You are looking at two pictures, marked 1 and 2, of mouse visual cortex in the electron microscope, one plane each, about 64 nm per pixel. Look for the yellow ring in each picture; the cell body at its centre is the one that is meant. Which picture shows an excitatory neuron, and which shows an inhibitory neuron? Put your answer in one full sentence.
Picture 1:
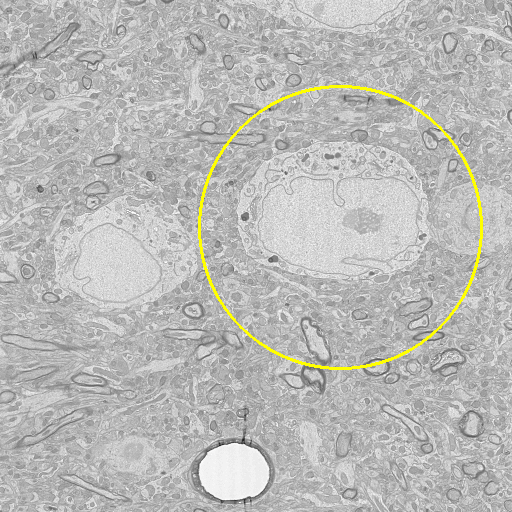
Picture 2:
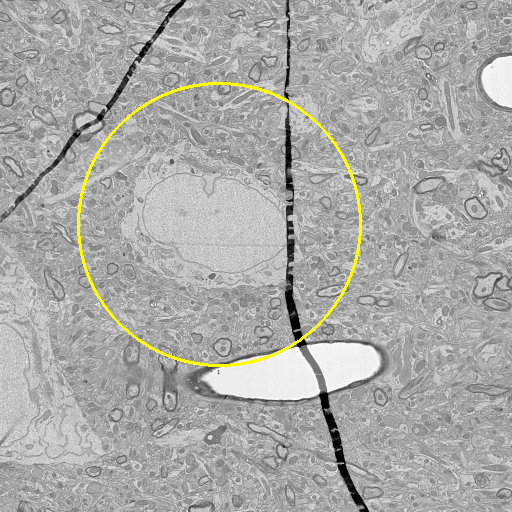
It is picture 1 that shows an inhibitory neuron, and picture 2 that shows an excitatory neuron.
